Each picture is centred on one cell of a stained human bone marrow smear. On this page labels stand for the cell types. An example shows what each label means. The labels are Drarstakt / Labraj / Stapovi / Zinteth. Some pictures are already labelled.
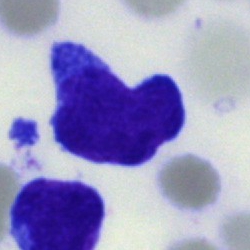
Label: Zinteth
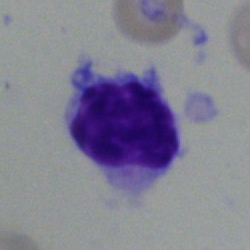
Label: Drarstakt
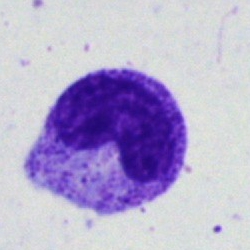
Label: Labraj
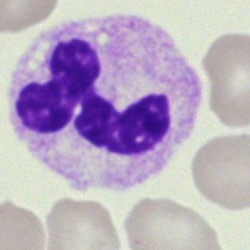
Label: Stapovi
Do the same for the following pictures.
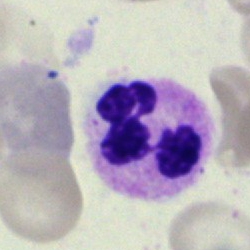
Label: Stapovi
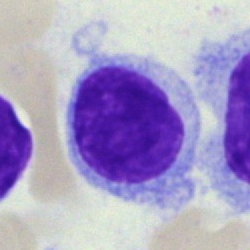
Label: Drarstakt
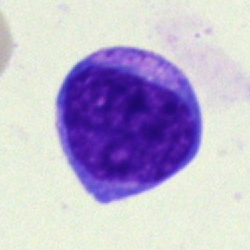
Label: Zinteth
